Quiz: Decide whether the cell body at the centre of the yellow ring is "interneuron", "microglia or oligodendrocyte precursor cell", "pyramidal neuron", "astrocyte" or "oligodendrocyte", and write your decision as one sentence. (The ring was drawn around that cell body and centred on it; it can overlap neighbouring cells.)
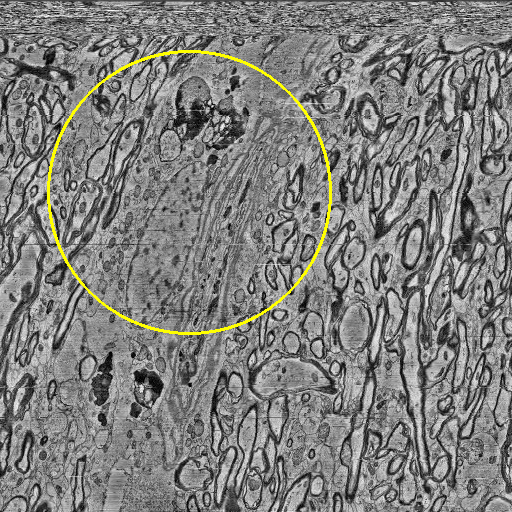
The cell the ring is centred on is an astrocyte.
